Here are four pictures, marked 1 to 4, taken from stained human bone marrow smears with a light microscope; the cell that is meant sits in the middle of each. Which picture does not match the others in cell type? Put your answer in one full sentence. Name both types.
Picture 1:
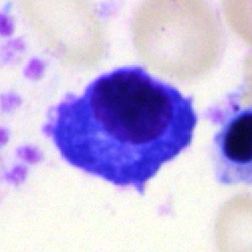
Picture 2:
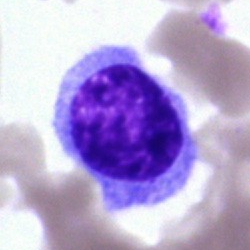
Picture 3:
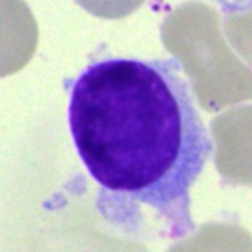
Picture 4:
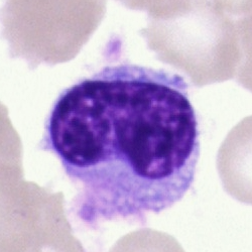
The others show hairy cells, but picture 1 shows a plasma cell.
